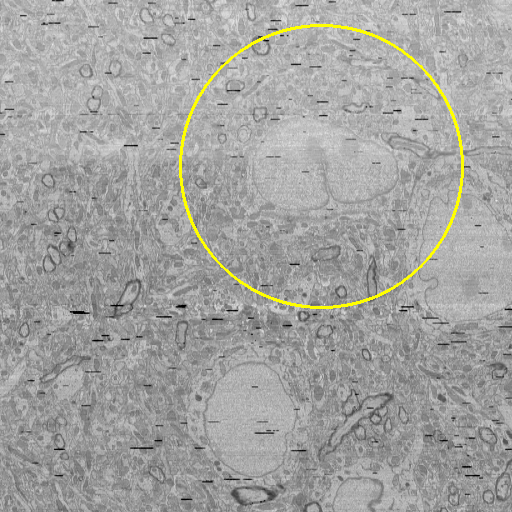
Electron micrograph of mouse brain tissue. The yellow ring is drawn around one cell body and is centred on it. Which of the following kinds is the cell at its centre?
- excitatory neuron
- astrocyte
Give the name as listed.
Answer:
astrocyte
